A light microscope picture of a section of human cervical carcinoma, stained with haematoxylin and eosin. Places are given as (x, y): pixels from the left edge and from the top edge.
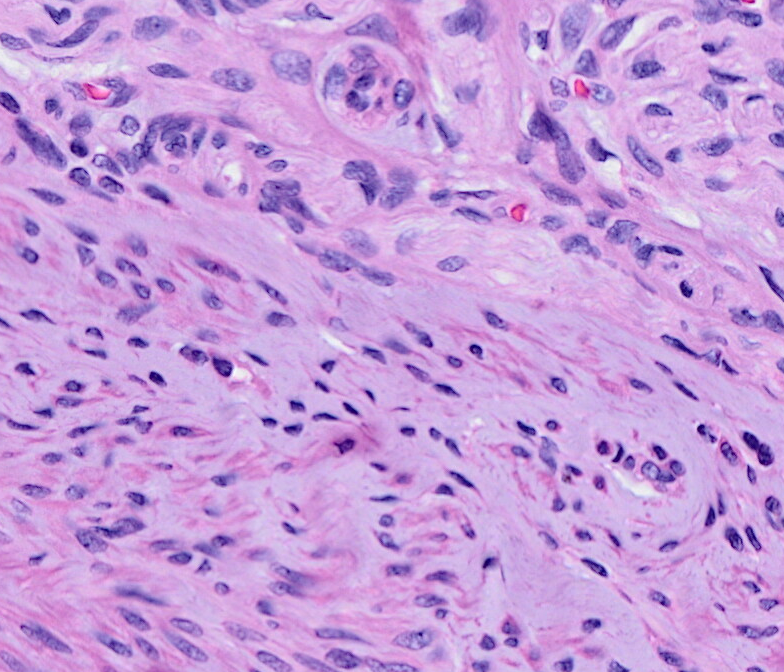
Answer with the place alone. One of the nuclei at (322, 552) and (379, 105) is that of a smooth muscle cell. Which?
(322, 552)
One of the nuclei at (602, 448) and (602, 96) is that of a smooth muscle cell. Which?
(602, 448)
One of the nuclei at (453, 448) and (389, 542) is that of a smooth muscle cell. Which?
(389, 542)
